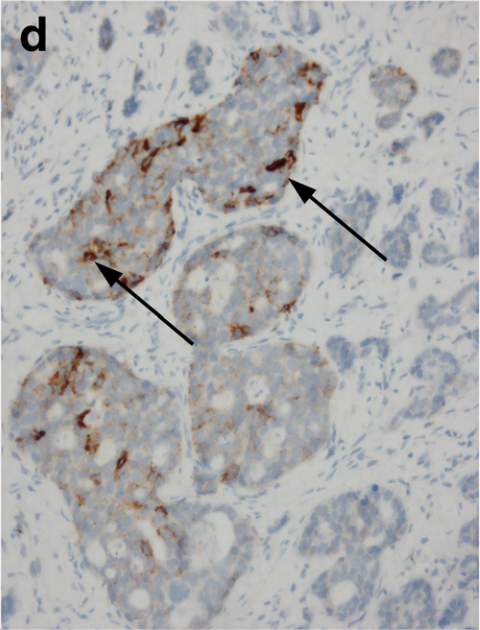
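Adenoid cystic carcinoma: rounded nests of small, uniform epithelial tumour cells with blue nuclei, pierced by many small round cyst-like spaces in a cribriform pattern. Patchy, granular brown stain lies in the cytoplasm and along the luminal borders of tumour cells within several nests, while other nests stay pale. The nests lie in a loose, pale fibrous stroma with scattered spindle-shaped nuclei.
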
